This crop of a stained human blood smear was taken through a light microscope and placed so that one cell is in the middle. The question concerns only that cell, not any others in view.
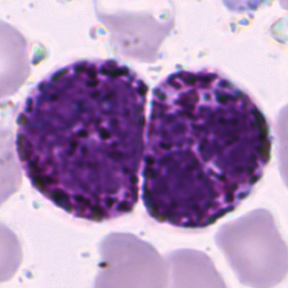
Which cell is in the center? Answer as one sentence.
The centrally located cell in the crop is a basophil.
